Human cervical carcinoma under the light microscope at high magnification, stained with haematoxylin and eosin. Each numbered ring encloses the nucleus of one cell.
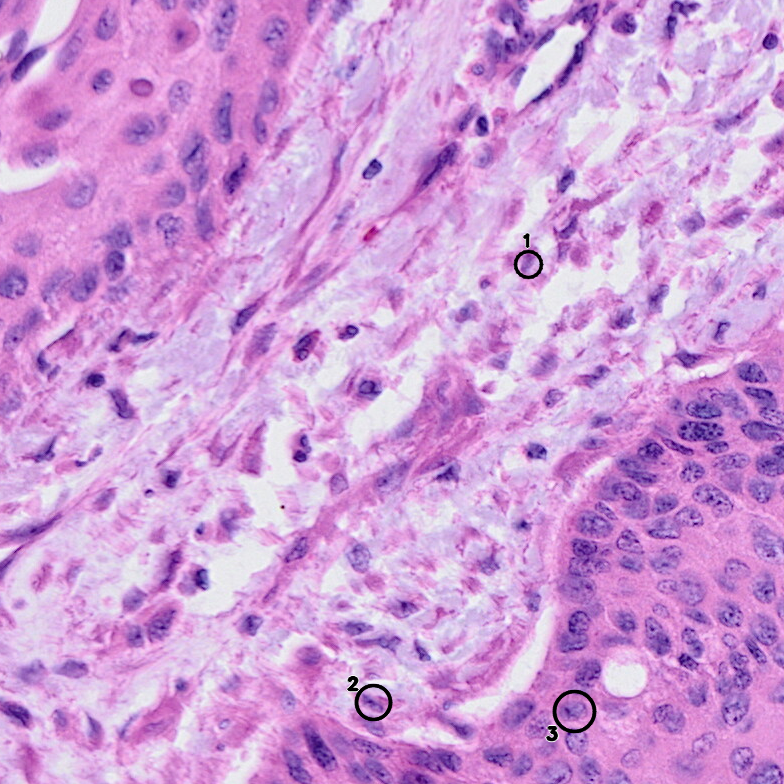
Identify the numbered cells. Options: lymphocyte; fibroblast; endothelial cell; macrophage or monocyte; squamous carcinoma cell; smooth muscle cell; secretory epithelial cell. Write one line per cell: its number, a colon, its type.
1: fibroblast
2: fibroblast
3: squamous carcinoma cell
